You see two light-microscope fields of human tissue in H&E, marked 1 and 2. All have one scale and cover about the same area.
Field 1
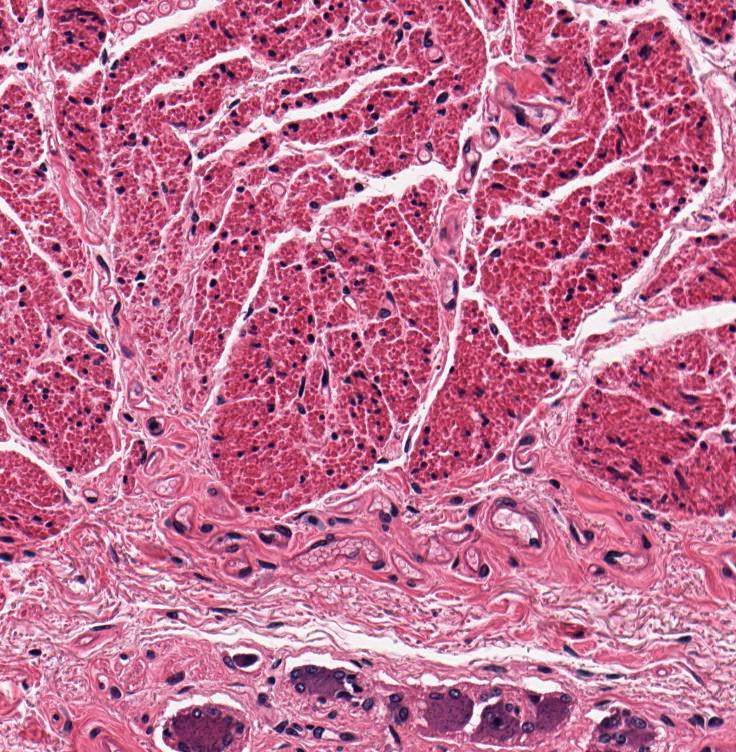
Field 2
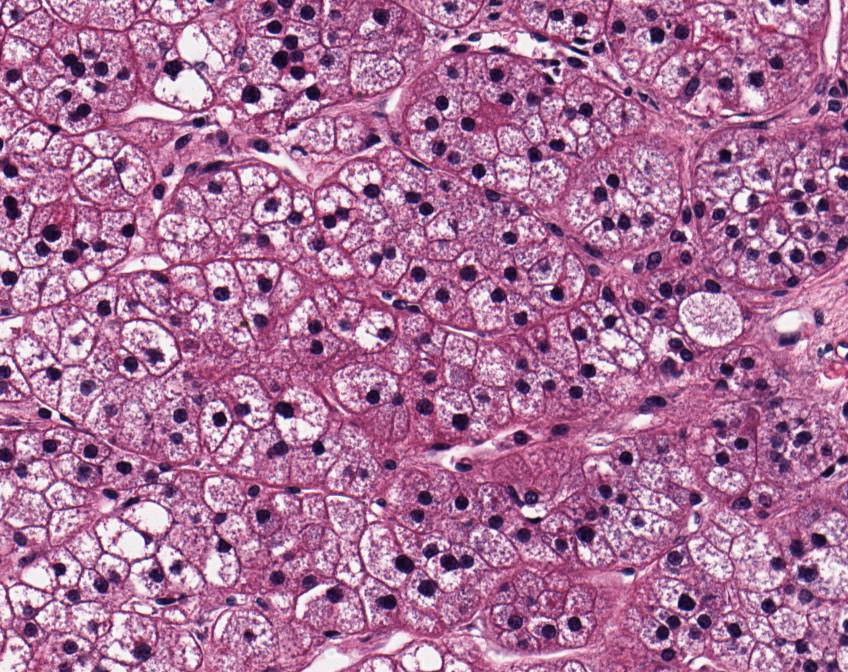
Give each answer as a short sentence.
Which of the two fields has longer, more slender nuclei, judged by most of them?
The nuclei are more elongated in field 1.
